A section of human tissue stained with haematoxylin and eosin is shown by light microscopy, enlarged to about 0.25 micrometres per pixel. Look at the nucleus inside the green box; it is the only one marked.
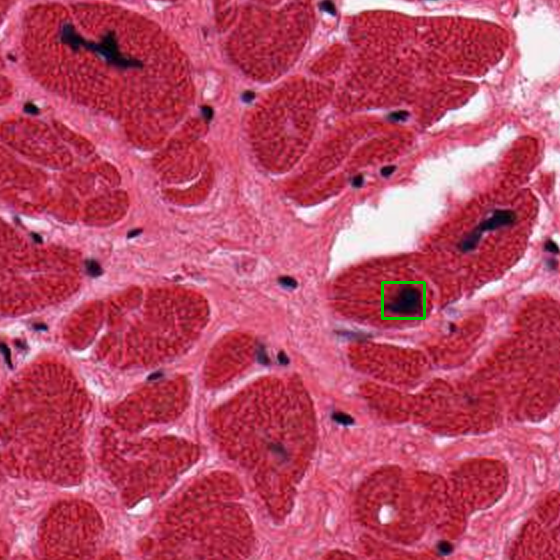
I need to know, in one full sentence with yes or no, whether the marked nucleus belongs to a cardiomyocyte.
Yes, the marked nucleus belongs to a cardiomyocyte in this image.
